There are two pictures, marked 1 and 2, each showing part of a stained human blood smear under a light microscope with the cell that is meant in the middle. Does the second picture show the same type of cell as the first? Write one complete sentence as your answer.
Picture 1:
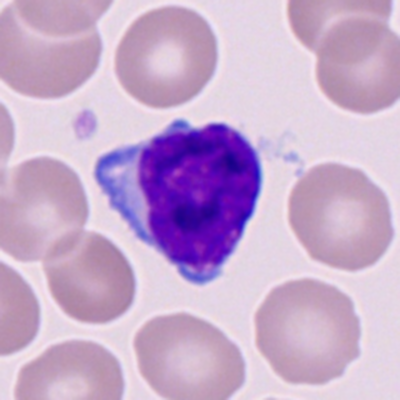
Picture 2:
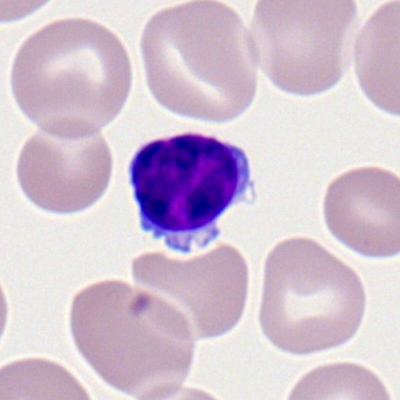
Yes, both cells are lymphocytes.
